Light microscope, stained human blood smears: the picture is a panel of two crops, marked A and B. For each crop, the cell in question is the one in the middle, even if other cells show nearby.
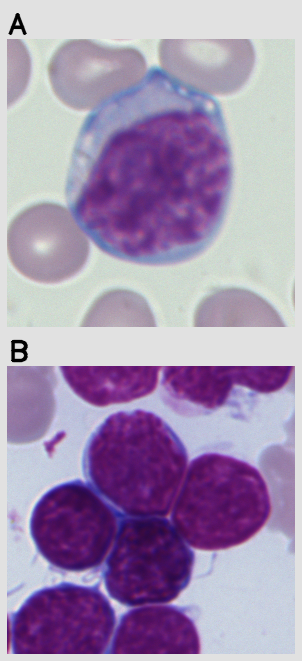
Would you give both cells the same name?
yes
